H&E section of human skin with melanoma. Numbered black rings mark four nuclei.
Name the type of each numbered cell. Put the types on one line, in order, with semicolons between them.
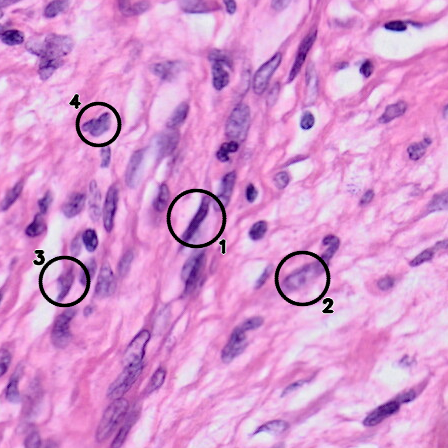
endothelial cell; fibroblast or myofibroblast; fibroblast or myofibroblast; lymphocyte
